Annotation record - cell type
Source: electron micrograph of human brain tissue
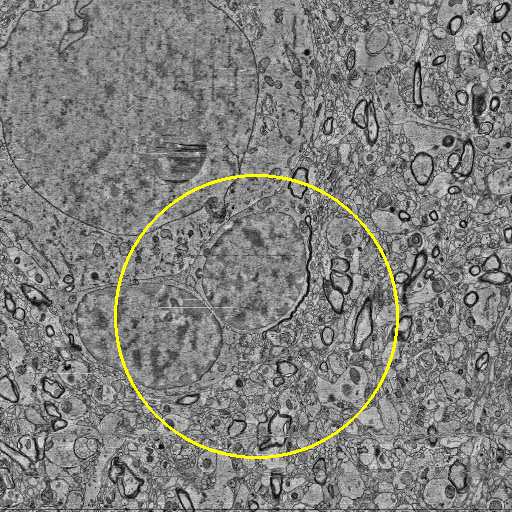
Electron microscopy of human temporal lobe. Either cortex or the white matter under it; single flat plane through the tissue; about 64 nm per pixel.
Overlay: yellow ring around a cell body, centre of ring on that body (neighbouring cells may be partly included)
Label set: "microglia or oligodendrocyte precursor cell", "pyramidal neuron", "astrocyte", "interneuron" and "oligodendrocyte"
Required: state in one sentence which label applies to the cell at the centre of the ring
This cell should be labelled as an oligodendrocyte.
